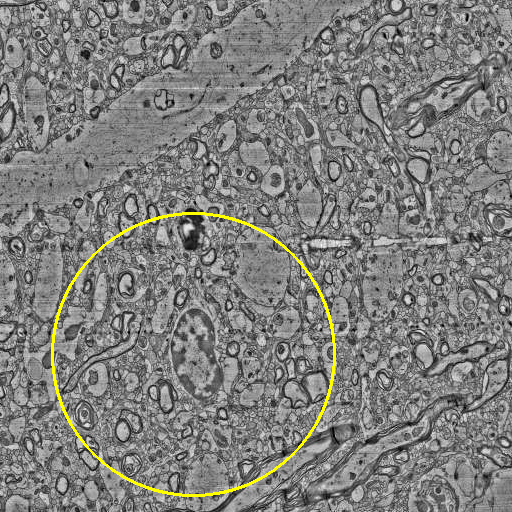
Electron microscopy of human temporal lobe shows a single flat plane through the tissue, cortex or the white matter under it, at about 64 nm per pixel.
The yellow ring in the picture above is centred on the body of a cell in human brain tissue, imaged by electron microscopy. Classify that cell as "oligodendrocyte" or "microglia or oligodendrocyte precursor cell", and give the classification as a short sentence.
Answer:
The cell in the middle of the ring is a microglial cell or oligodendrocyte precursor cell.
